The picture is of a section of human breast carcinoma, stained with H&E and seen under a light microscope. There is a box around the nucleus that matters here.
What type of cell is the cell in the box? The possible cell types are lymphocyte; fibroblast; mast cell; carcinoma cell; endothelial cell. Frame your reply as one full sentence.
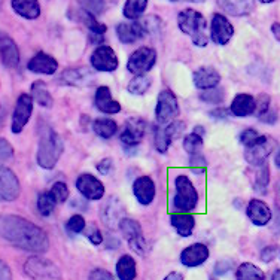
In the context of this tissue, the cell in the box is a lymphocyte.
